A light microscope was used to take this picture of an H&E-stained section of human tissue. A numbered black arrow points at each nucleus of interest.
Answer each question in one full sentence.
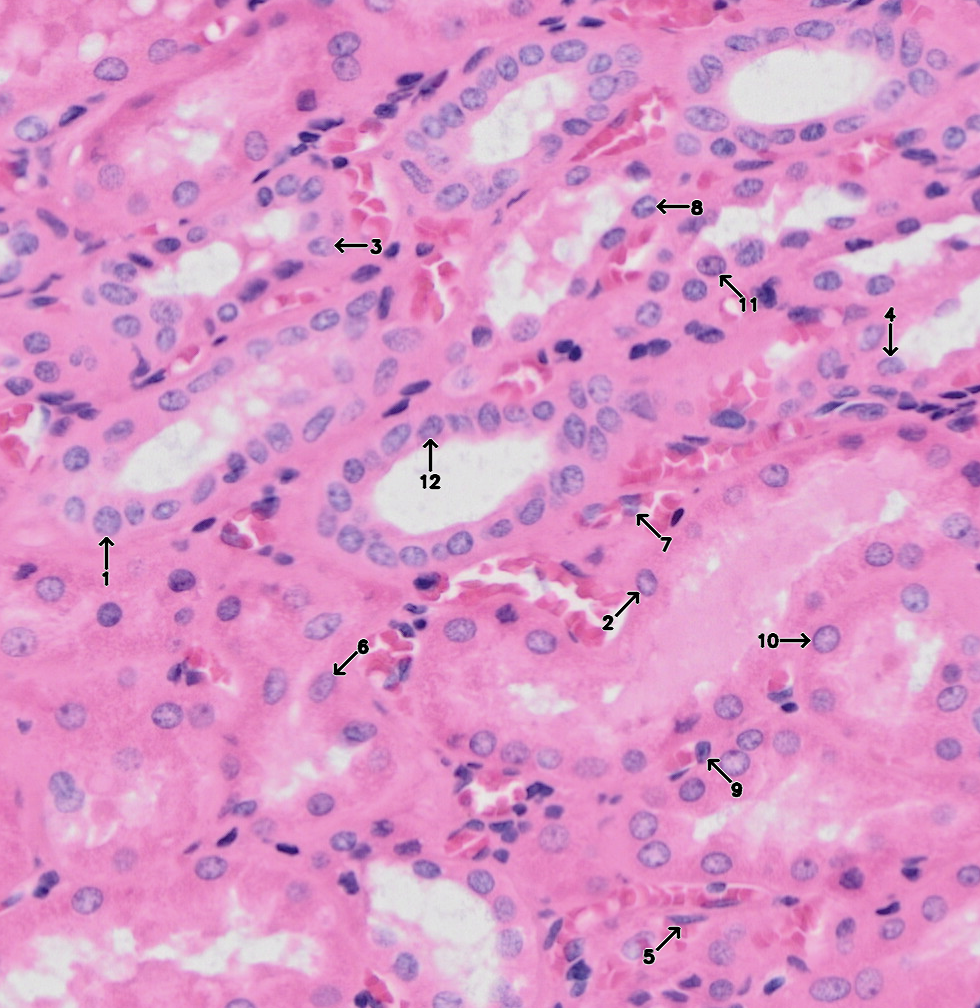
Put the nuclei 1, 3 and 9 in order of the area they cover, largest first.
Largest first, the order by area is 1, 3, 9.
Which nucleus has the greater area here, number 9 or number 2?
Number 2 is larger; its area is about 1.5 times that of number 9.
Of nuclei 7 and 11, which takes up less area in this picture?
Number 7 is smaller, since number 11 takes up about 1.5 times as much area.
